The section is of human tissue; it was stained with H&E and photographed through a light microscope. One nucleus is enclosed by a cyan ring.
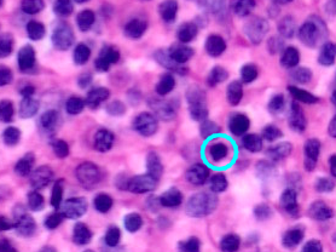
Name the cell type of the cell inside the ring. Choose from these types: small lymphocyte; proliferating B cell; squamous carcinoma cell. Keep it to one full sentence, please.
So far as cell type goes, the cell inside the ring is a small lymphocyte.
